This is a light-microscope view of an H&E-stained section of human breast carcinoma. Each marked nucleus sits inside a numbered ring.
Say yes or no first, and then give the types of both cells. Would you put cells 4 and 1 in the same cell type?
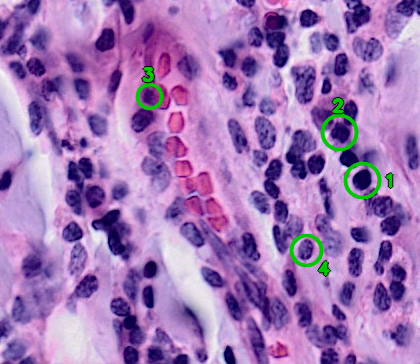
Yes, cells 4 and 1 are both recognised as lymphocytes.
